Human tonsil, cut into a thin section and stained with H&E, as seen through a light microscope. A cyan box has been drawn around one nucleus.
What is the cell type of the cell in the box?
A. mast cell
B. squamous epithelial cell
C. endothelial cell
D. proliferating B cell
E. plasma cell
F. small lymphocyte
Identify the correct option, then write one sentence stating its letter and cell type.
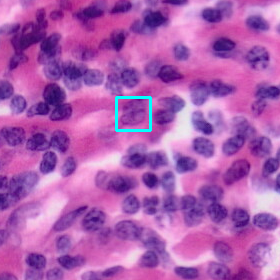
Of all the options, C is right, since the cell in the box is an endothelial cell.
